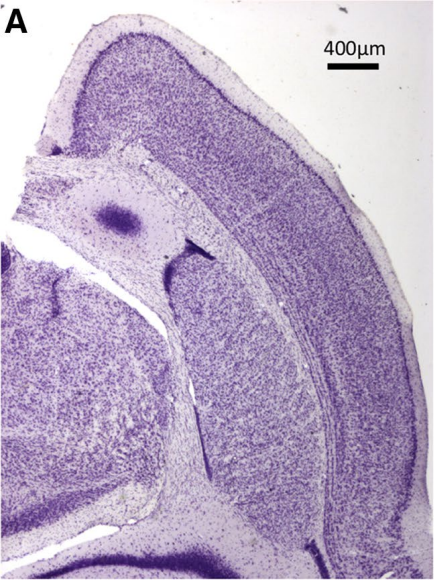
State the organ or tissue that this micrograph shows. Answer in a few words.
Brain hemisphere.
